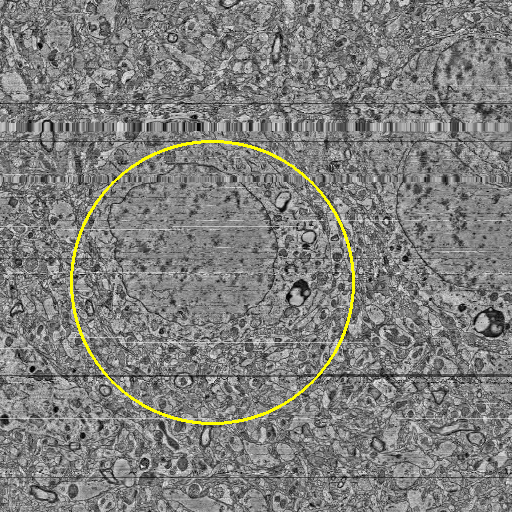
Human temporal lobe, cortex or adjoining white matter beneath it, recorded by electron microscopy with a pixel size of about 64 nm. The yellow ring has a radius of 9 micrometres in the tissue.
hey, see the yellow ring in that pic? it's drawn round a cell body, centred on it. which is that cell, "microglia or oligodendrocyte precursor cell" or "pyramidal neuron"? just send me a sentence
The cell in the ring is a pyramidal neuron.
